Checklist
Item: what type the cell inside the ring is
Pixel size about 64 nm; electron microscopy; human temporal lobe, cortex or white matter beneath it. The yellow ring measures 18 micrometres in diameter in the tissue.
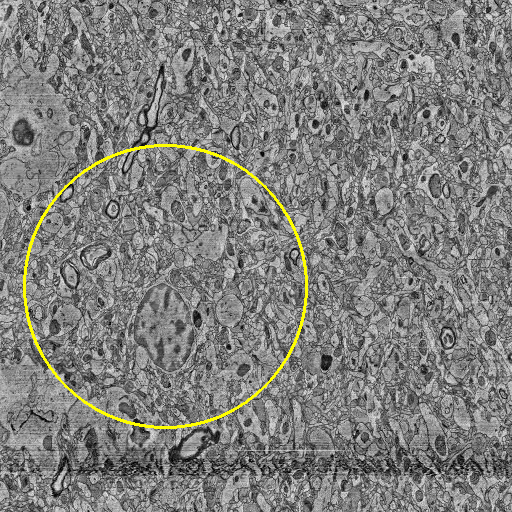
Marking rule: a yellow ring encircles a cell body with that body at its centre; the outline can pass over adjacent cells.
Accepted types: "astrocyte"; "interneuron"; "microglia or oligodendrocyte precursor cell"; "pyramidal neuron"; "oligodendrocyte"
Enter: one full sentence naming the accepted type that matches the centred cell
The entry is that a microglial cell or oligodendrocyte precursor cell lies at the centre of the yellow ring.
